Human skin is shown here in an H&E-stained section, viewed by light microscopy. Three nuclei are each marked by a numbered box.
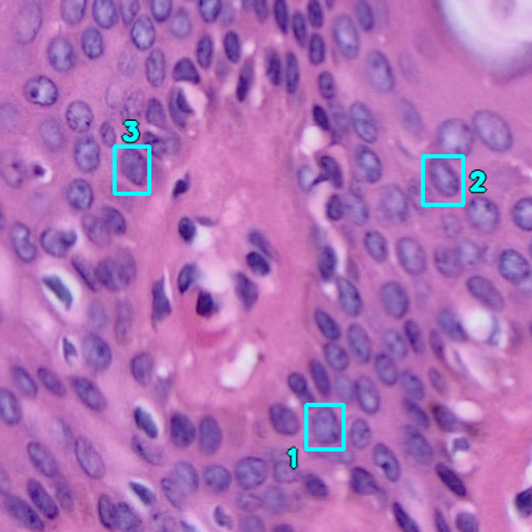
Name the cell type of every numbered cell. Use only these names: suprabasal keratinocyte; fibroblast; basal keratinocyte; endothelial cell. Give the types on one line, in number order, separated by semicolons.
basal keratinocyte; suprabasal keratinocyte; basal keratinocyte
